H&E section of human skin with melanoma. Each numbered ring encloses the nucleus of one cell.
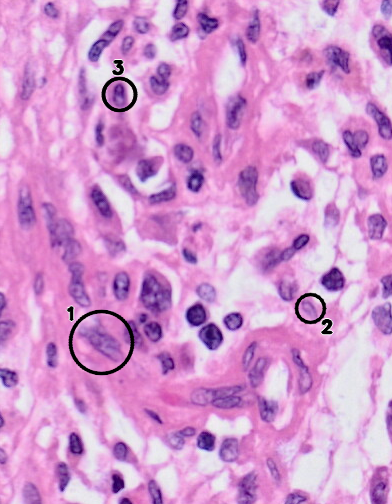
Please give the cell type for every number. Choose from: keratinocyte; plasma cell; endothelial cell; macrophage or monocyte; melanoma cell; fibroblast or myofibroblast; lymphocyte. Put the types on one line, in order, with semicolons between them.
endothelial cell; macrophage or monocyte; macrophage or monocyte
